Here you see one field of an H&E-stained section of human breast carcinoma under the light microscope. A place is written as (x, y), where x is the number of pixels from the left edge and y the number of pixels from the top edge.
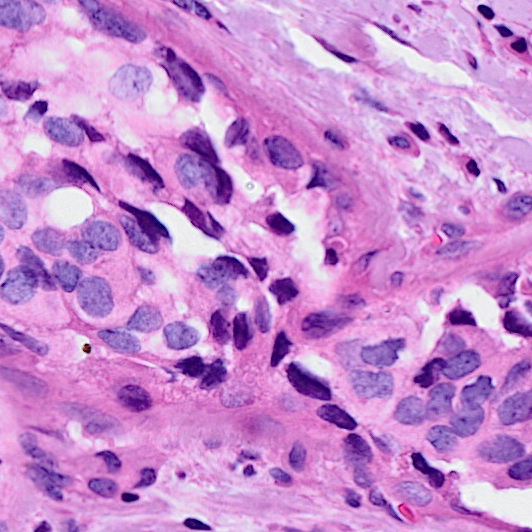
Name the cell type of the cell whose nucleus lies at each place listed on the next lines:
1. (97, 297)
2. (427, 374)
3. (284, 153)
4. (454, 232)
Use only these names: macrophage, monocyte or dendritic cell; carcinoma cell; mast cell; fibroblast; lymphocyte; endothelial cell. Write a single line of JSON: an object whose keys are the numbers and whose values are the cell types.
{"1": "carcinoma cell", "2": "carcinoma cell", "3": "carcinoma cell", "4": "endothelial cell"}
